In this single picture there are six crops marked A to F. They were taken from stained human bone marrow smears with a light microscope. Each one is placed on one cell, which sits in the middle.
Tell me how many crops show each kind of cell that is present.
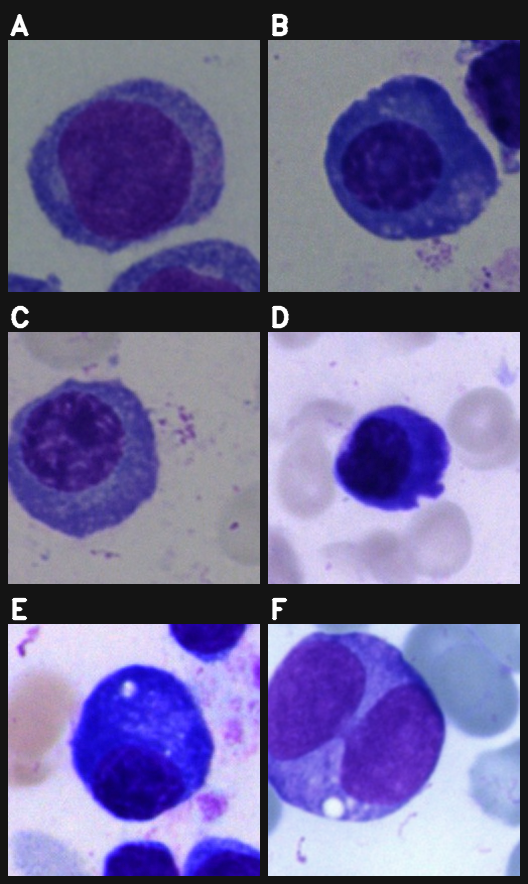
plasma cell: 4
blast: 2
